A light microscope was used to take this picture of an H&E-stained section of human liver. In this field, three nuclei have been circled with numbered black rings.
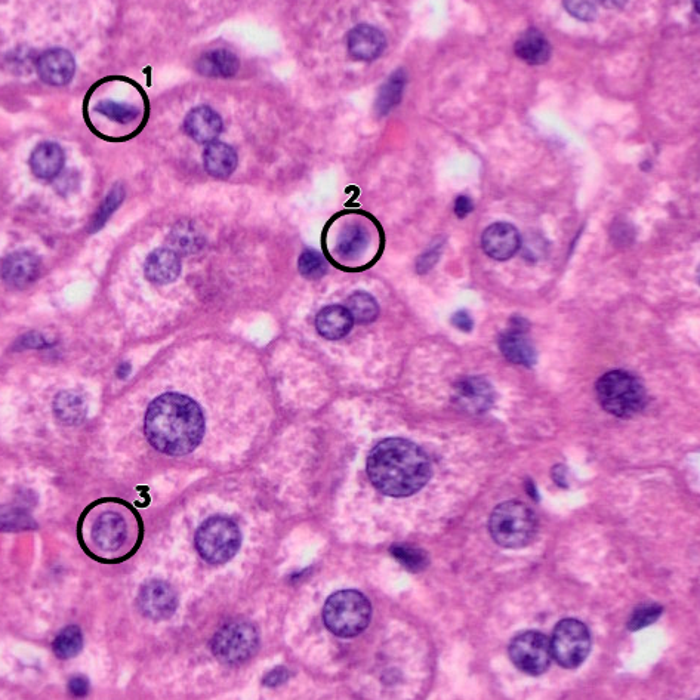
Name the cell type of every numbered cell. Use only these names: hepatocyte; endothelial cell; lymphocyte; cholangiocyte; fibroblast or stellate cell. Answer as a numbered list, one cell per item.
1. endothelial cell
2. endothelial cell
3. hepatocyte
